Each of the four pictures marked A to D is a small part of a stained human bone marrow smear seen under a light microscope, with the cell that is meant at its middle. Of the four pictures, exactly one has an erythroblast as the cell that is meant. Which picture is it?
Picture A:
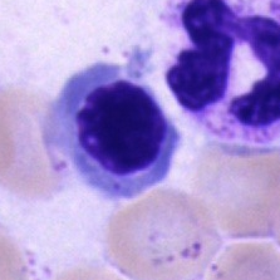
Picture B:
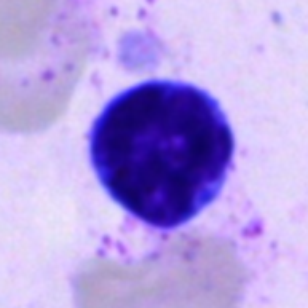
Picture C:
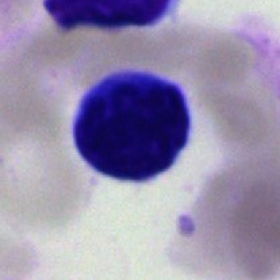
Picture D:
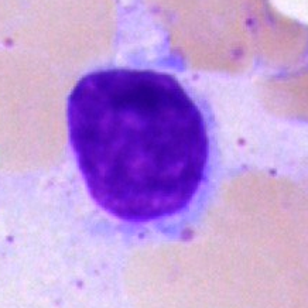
A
